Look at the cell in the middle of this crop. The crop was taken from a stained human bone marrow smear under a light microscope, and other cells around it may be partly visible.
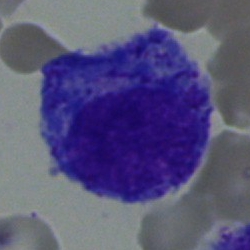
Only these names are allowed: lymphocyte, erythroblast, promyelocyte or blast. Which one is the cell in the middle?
promyelocyte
